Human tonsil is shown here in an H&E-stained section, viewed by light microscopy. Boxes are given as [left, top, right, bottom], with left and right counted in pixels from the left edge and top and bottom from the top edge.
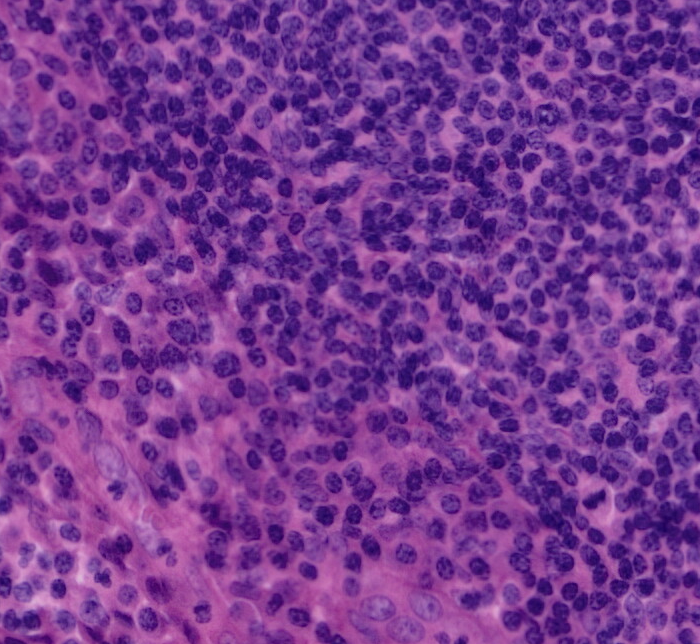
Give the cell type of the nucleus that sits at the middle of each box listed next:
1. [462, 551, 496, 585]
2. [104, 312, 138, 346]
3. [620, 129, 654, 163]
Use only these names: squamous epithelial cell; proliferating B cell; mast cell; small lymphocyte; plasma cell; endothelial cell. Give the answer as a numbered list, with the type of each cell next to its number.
1. plasma cell
2. plasma cell
3. small lymphocyte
